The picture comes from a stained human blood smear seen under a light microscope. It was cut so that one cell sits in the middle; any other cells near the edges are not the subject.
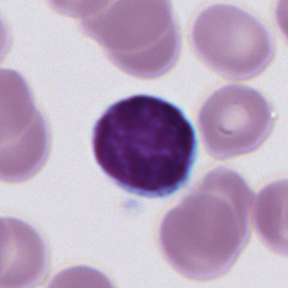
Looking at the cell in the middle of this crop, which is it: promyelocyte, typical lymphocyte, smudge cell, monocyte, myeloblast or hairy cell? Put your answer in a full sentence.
In this crop, the cell at the very middle is a typical lymphocyte.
